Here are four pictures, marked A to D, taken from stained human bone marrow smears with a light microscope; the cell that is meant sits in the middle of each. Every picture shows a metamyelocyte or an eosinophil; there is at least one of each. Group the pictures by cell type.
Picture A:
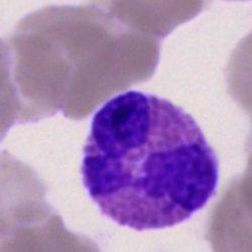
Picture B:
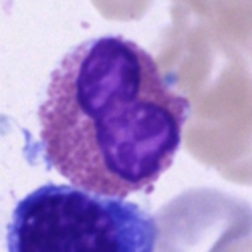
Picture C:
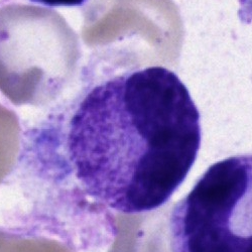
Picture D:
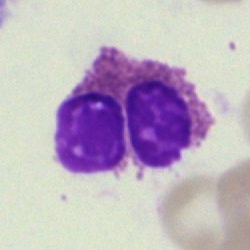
A: eosinophil
B: eosinophil
C: metamyelocyte
D: eosinophil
